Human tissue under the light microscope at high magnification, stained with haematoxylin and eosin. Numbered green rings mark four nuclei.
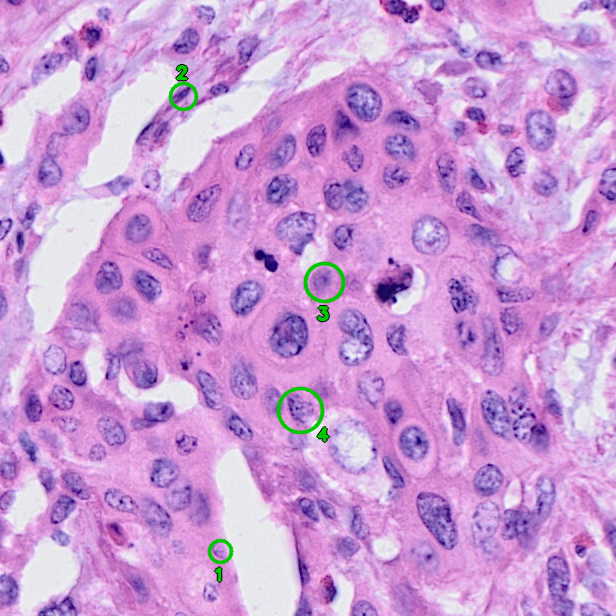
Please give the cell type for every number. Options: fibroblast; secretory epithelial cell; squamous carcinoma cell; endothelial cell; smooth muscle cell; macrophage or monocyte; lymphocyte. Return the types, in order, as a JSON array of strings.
["squamous carcinoma cell", "fibroblast", "squamous carcinoma cell", "squamous carcinoma cell"]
